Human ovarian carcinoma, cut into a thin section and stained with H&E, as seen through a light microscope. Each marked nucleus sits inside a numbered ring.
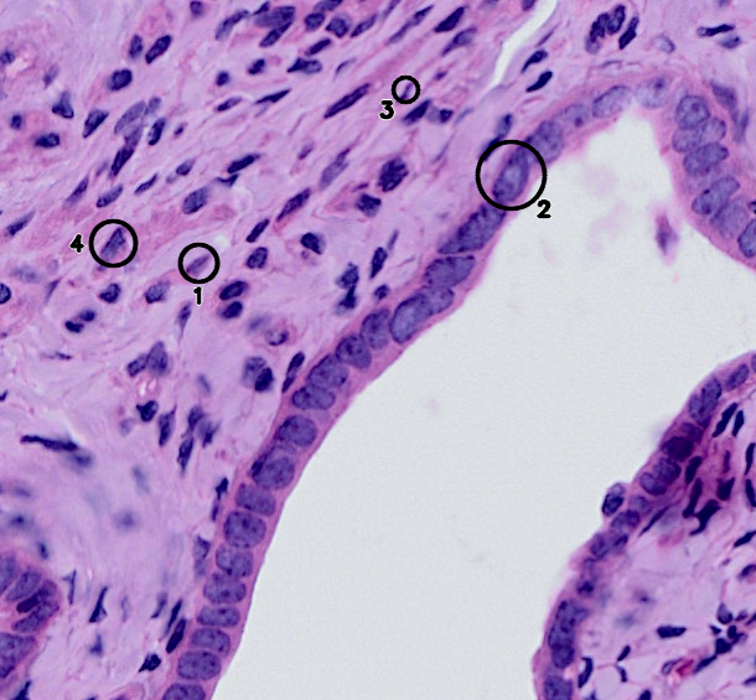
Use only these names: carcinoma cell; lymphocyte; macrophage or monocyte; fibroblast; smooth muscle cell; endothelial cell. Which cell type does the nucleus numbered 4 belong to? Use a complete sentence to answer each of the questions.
Cell 4 should be recorded as a smooth muscle cell.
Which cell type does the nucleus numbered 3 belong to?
What the number 3 marks in this field is a smooth muscle cell.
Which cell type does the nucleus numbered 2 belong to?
The cell indicated with the number 2 is classed as a carcinoma cell.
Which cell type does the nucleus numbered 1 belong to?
Identified as a smooth muscle cell is the cell bearing the number 1.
